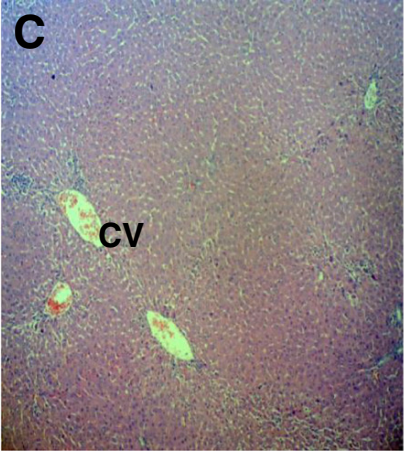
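This is liver tissue at low power, made up of sheets of hepatocytes stained pink with scattered purple nuclei. The parenchyma looks fairly uniform, with thin pale sinusoidal lines running between plates of cells. Several vessels cut in cross or oblique section lie on the left side, their lumens containing red blood cells. Small clusters of darker-staining nuclei can be seen near some of the vessels at the edges of the field. No large pale or reddish patches break up the tissue.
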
